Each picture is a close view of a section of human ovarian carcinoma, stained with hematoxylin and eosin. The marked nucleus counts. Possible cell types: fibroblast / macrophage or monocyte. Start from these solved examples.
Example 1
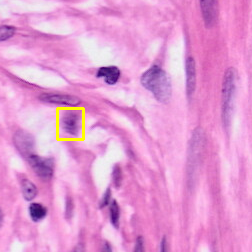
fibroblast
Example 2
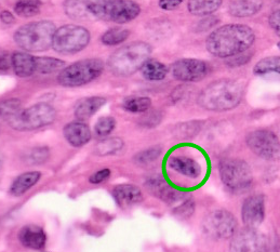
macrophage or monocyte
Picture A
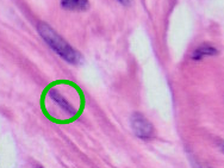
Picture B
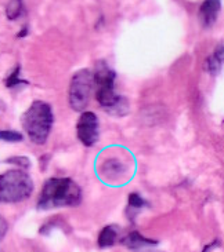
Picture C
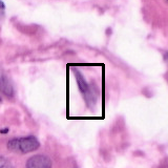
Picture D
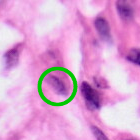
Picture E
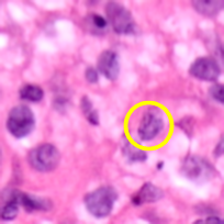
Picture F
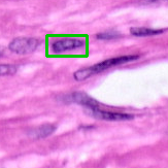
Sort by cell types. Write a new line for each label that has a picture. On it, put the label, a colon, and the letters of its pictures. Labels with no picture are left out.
fibroblast: A, C, D, F
macrophage or monocyte: B, E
